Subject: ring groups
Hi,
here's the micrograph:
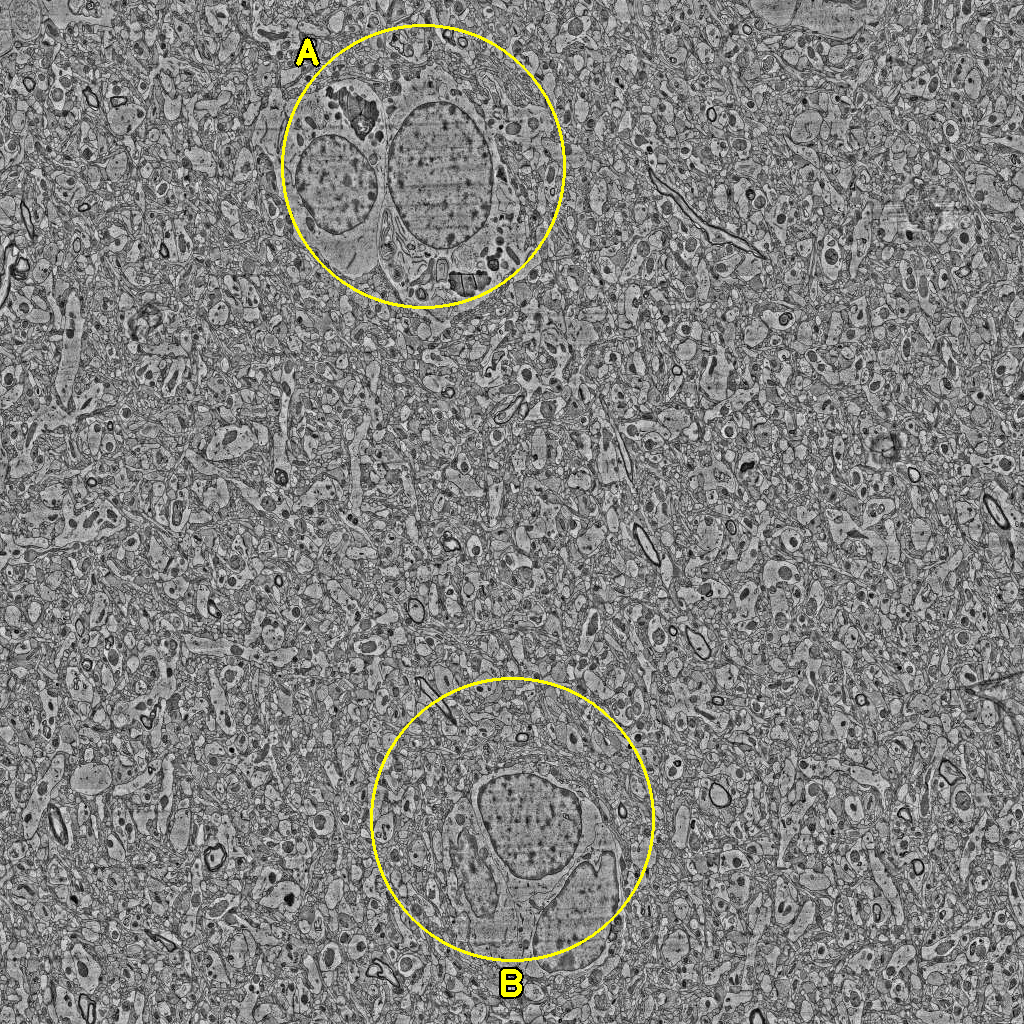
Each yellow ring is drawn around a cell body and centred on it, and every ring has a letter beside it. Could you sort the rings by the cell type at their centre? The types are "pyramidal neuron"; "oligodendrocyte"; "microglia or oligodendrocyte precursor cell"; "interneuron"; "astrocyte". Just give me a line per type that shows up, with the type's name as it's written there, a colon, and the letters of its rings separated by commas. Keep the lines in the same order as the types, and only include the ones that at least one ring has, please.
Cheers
microglia or oligodendrocyte precursor cell: B
astrocyte: A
